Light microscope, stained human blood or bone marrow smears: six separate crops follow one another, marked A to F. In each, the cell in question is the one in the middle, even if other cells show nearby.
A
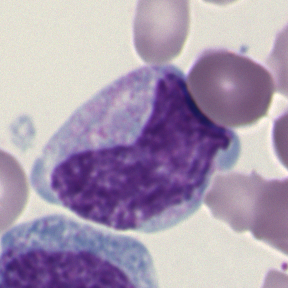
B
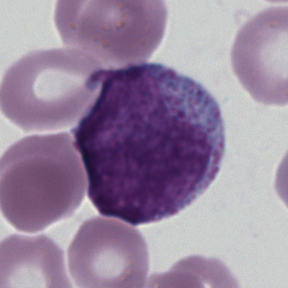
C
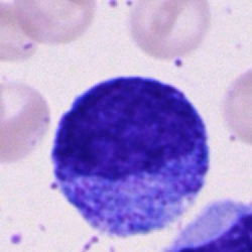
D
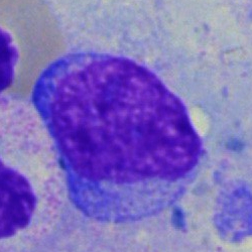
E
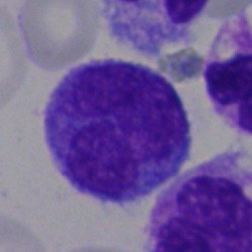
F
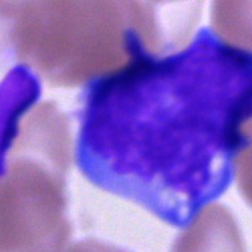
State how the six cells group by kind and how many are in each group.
promyelocyte: 3
blast: 3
